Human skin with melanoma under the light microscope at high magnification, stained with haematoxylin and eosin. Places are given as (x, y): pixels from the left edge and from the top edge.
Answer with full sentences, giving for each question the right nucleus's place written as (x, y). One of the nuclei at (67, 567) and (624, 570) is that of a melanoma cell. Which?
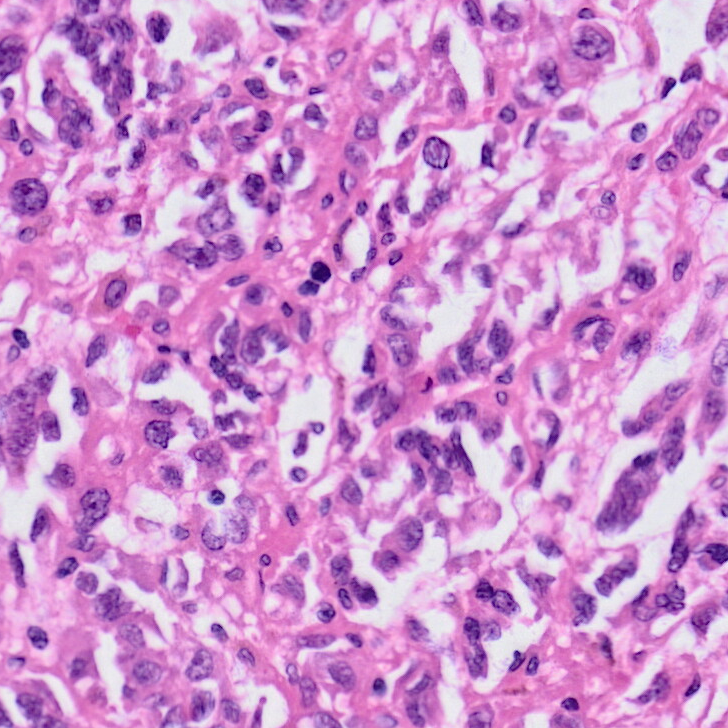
The nucleus belonging to a melanoma cell is the one at (624, 570).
